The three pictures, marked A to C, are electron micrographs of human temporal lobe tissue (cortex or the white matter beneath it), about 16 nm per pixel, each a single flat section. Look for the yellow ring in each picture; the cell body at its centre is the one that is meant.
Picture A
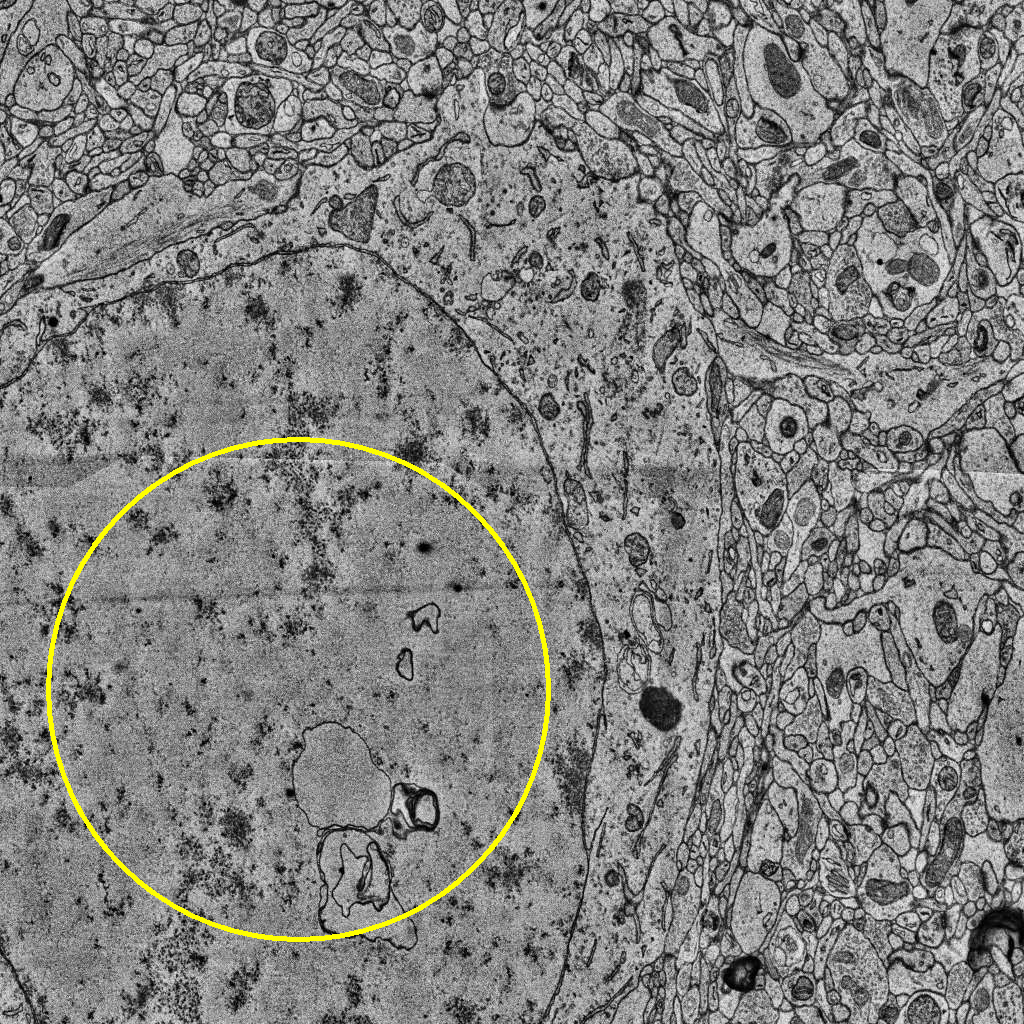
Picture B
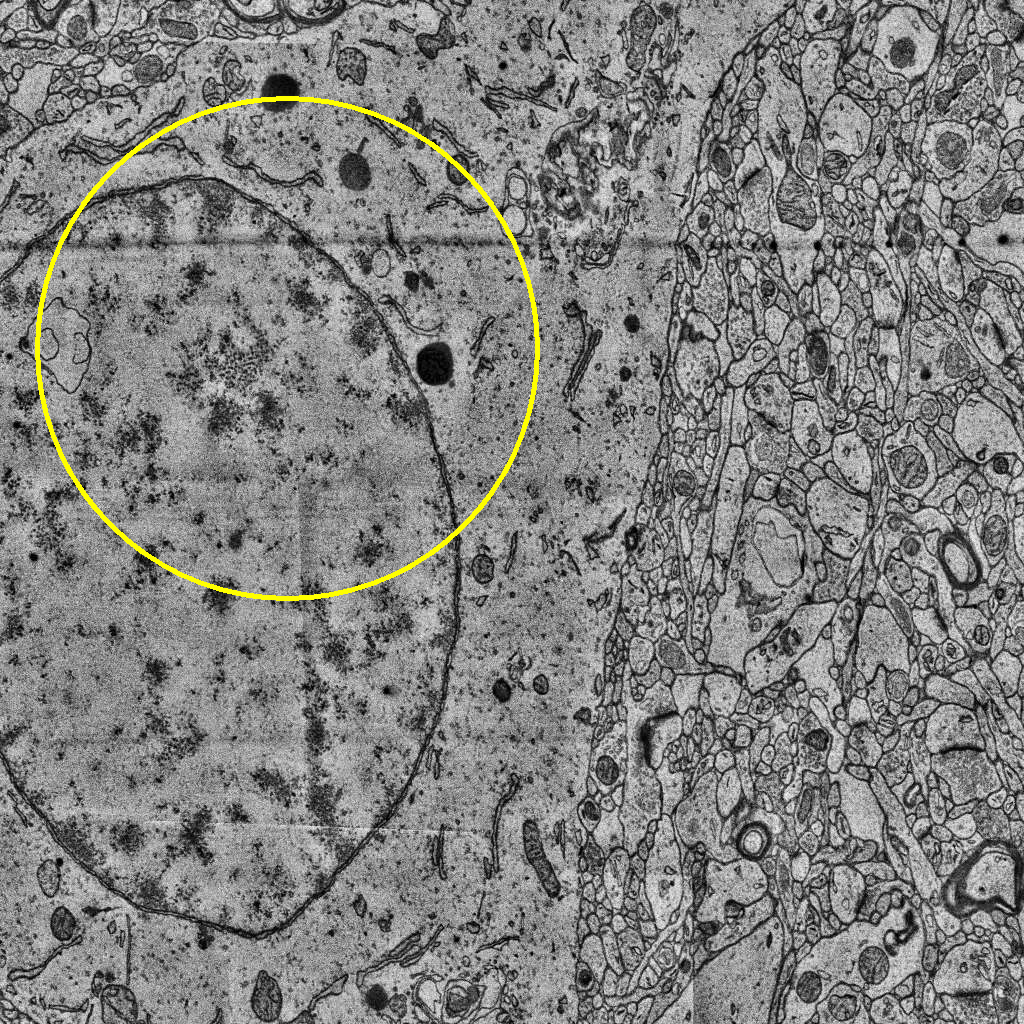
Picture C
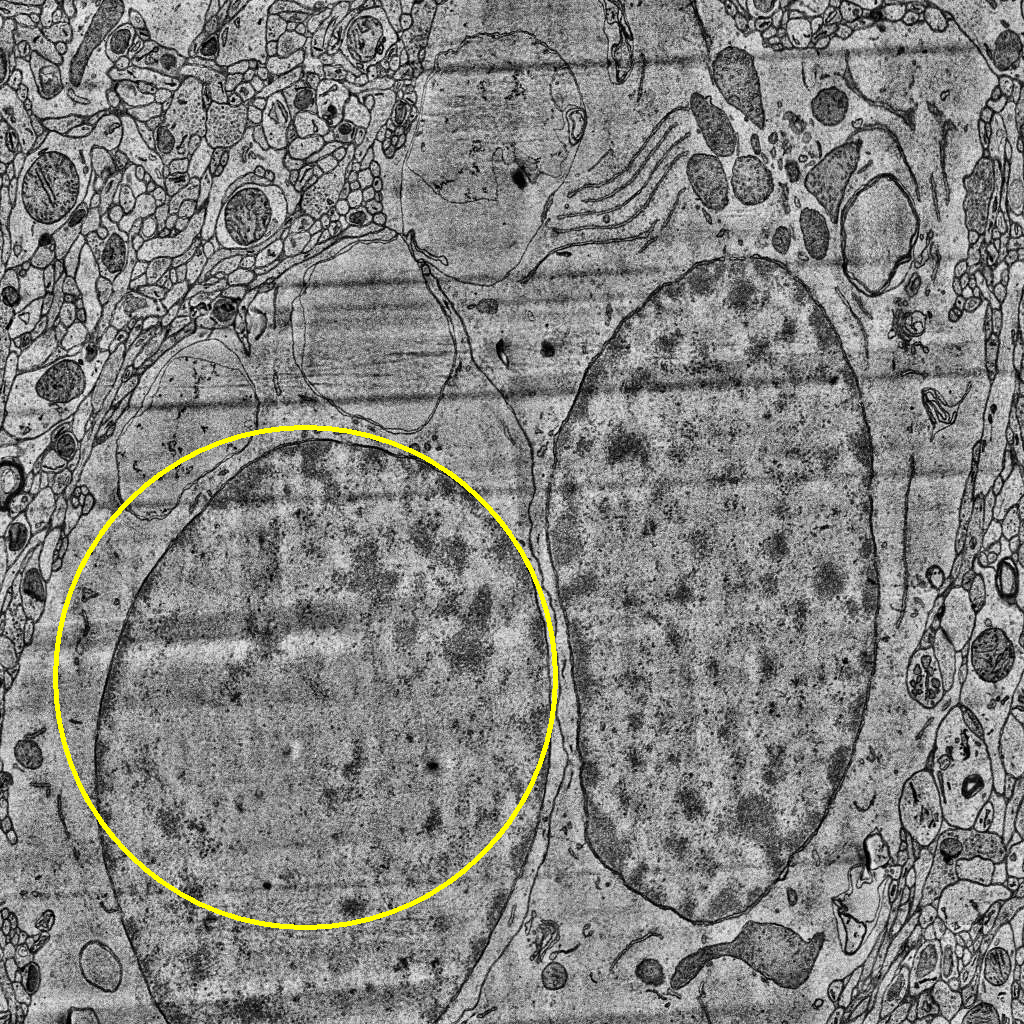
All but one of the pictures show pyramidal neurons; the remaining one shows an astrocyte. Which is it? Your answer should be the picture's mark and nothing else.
C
